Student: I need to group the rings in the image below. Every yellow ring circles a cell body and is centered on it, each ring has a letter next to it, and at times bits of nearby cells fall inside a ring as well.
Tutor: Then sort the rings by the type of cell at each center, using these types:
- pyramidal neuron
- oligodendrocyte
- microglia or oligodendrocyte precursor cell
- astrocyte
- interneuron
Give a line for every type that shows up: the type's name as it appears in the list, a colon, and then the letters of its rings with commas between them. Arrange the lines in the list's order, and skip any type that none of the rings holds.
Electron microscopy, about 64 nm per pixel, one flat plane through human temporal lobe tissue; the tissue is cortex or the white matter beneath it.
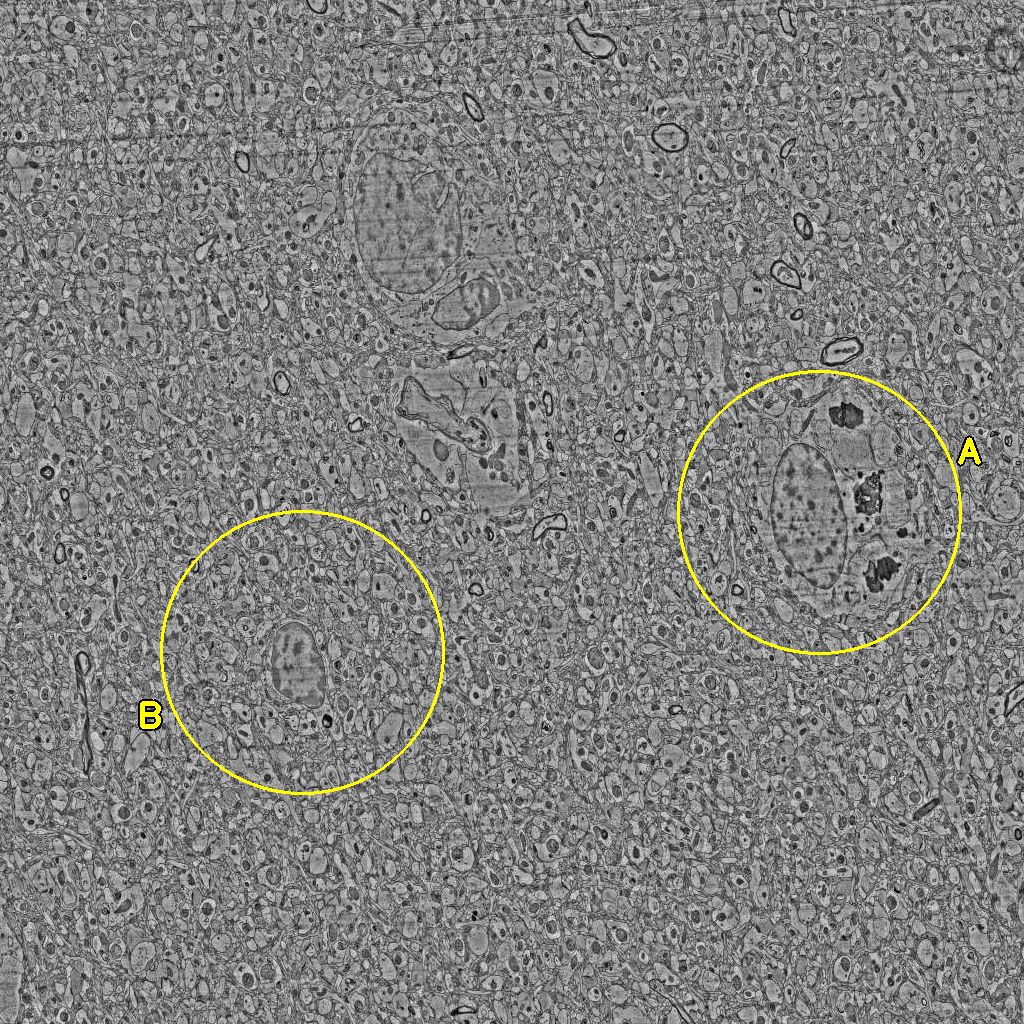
microglia or oligodendrocyte precursor cell: B
astrocyte: A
